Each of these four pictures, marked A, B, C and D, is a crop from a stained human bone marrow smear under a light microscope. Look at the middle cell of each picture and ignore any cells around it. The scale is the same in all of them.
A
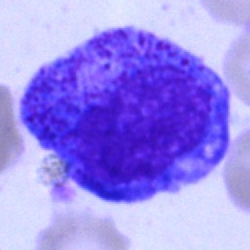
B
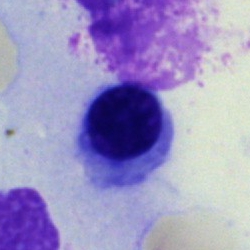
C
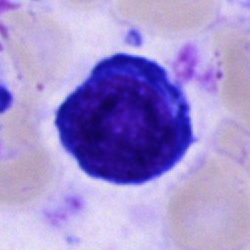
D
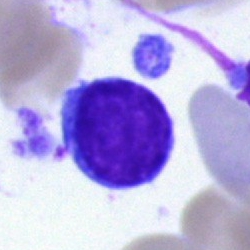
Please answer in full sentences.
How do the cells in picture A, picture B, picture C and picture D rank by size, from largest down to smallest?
Going down, they run A, C, D, B.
